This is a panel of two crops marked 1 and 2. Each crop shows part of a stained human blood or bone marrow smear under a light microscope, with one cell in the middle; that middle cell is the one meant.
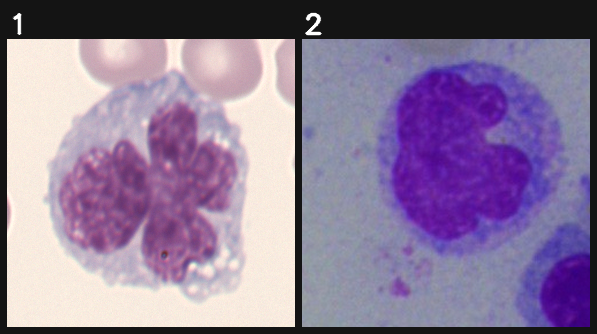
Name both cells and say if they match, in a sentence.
Yes, monocytes are seen in both crops.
